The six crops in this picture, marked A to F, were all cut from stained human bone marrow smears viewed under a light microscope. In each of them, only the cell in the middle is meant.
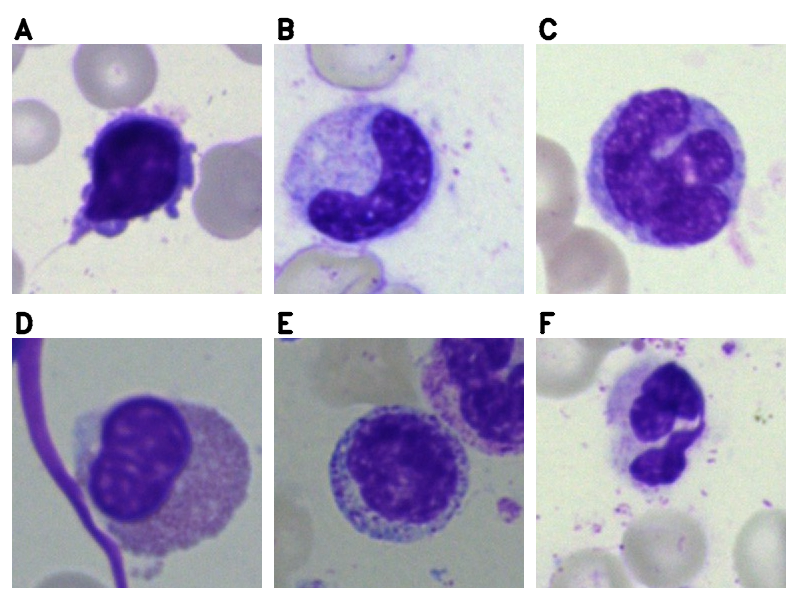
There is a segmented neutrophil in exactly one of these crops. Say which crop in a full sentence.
The crop in which a segmented neutrophil is shown is crop F.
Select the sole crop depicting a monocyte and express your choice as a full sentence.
The crop marked C is the one in which a monocyte is shown.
